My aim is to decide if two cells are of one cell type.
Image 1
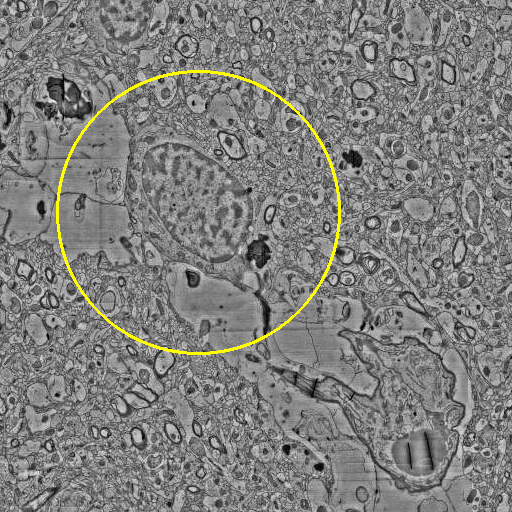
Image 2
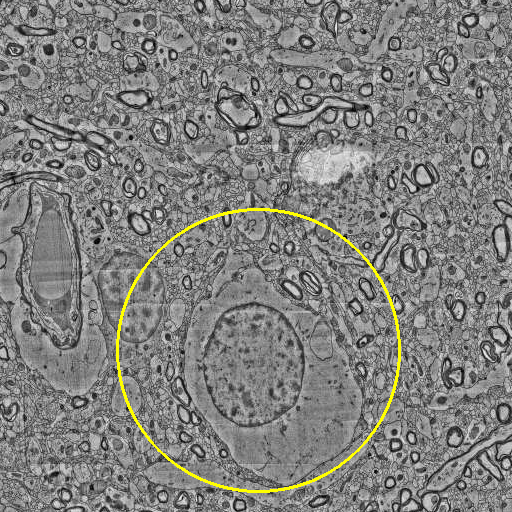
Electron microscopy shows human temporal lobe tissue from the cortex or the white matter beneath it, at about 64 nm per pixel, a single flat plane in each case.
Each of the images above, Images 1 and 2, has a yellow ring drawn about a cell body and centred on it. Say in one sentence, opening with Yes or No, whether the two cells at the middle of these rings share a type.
No, in Images 1 and 2 the cells at the middle of the rings fall into two types.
